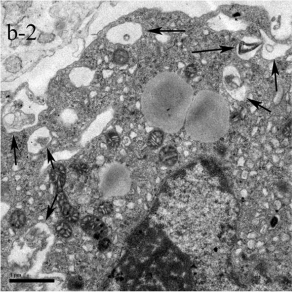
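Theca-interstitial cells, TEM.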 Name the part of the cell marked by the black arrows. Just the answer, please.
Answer: Autophagy structure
